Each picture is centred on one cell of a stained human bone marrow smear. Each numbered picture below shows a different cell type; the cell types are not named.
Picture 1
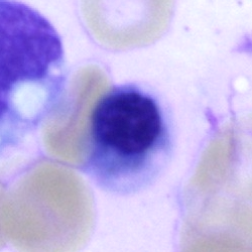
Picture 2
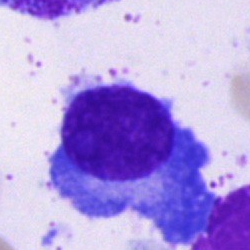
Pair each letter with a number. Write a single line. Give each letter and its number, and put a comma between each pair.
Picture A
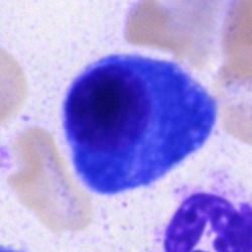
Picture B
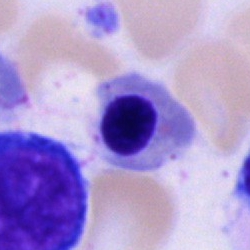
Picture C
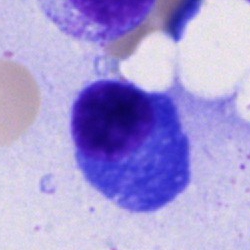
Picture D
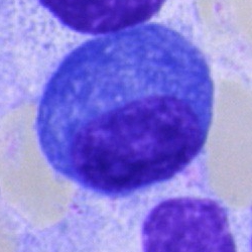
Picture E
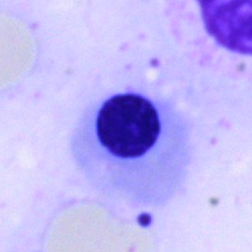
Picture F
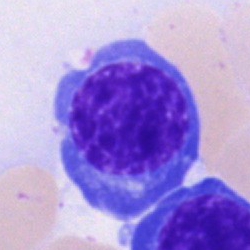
A 2, B 1, C 2, D 2, E 1, F 1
